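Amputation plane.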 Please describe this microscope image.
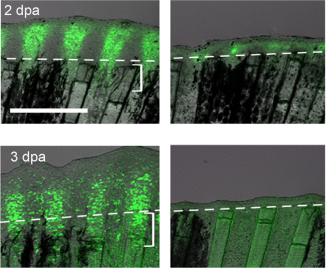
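Regenerating fin rays seen as a merge of green fluorescence and transmitted light, with segmented bony rays and dark pigment cells below a dashed line. In the right images the tissue beyond the line is thin and almost free of green.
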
